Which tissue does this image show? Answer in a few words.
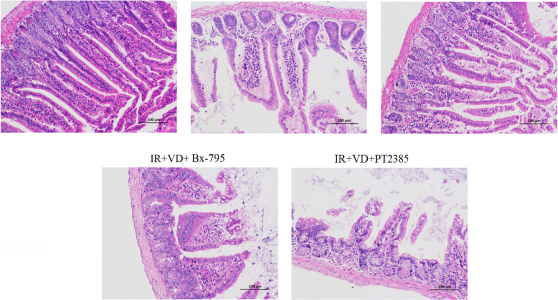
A: small intestine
